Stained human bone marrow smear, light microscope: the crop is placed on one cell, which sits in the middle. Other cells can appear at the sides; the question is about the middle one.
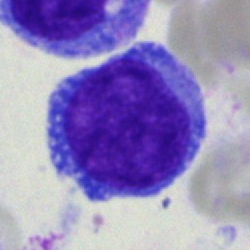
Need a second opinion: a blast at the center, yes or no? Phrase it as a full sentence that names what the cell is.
Yes, the cell in the exact middle is a blast.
